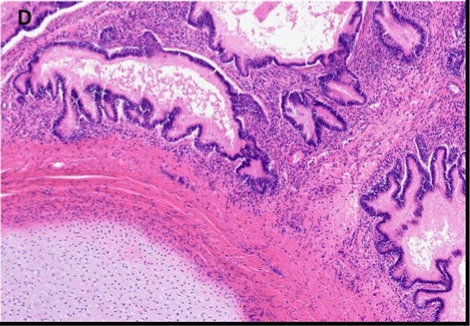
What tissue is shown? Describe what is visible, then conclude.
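Glandular tissue. Spaces lined by a single layer of tall columnar epithelium with basal nuclei. The epithelium forms folded glandular structures with pale contents in their lumens.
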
